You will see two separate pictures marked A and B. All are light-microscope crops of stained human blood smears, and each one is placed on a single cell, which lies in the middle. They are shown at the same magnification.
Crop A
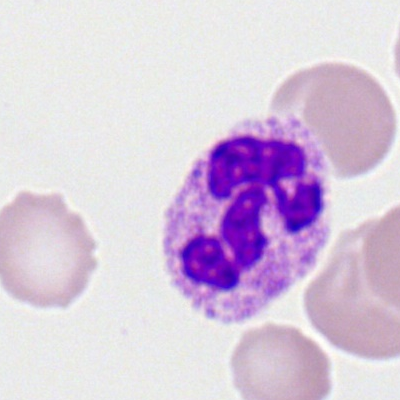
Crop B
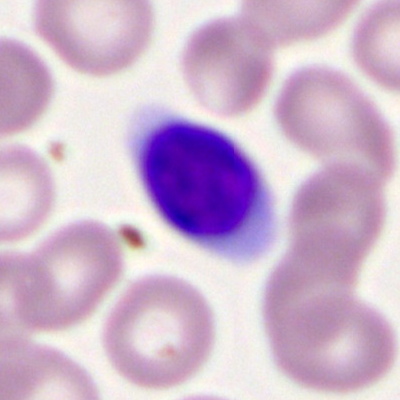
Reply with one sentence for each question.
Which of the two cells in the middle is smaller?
Smaller is the cell in crop B, and the other is about 1.5 times as large in area.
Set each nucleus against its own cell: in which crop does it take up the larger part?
Of the two, the nucleus in crop B makes up the greater part of its cell.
